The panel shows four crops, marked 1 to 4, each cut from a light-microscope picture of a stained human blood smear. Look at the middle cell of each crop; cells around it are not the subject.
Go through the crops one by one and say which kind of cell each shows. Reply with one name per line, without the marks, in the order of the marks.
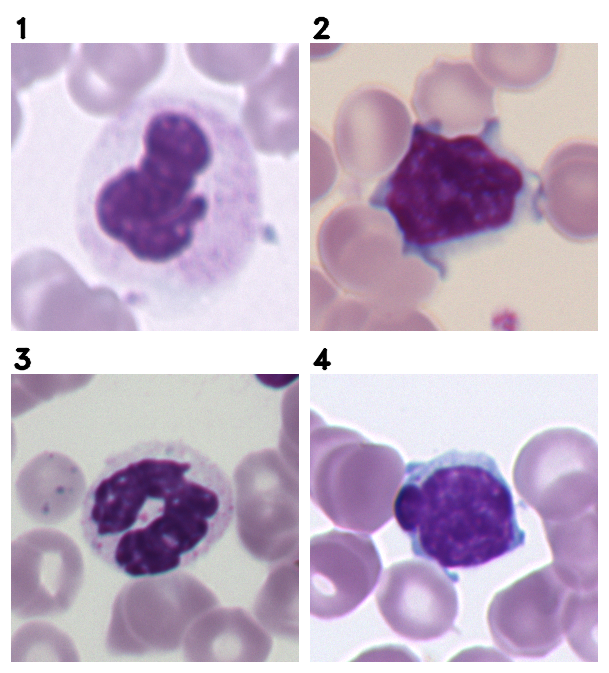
neutrophil
lymphocyte
neutrophil
lymphocyte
